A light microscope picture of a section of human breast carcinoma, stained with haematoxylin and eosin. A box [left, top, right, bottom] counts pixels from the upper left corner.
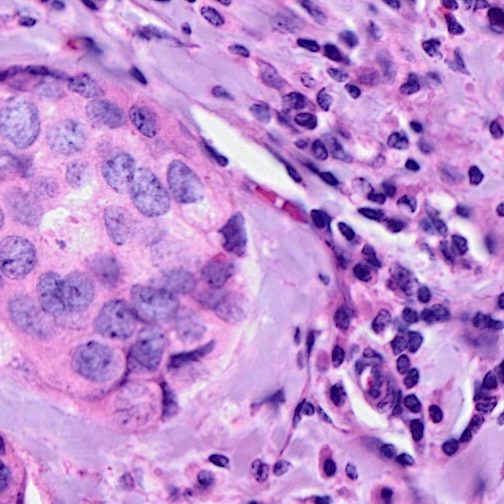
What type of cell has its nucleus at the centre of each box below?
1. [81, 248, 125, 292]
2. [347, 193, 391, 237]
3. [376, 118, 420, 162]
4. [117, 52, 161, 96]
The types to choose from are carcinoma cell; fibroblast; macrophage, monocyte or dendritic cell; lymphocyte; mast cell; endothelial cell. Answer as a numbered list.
1. carcinoma cell
2. lymphocyte
3. lymphocyte
4. lymphocyte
